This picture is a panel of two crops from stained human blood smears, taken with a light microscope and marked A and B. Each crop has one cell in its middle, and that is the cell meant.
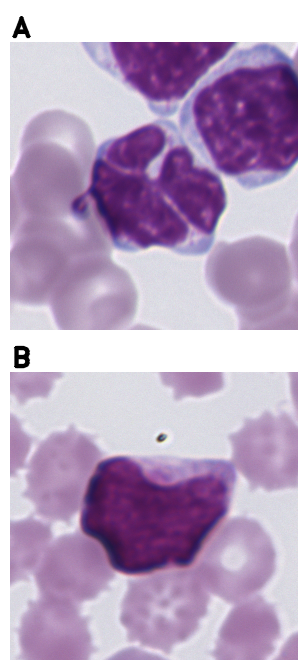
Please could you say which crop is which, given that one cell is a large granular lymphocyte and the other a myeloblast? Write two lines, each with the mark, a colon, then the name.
A: large granular lymphocyte
B: myeloblast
